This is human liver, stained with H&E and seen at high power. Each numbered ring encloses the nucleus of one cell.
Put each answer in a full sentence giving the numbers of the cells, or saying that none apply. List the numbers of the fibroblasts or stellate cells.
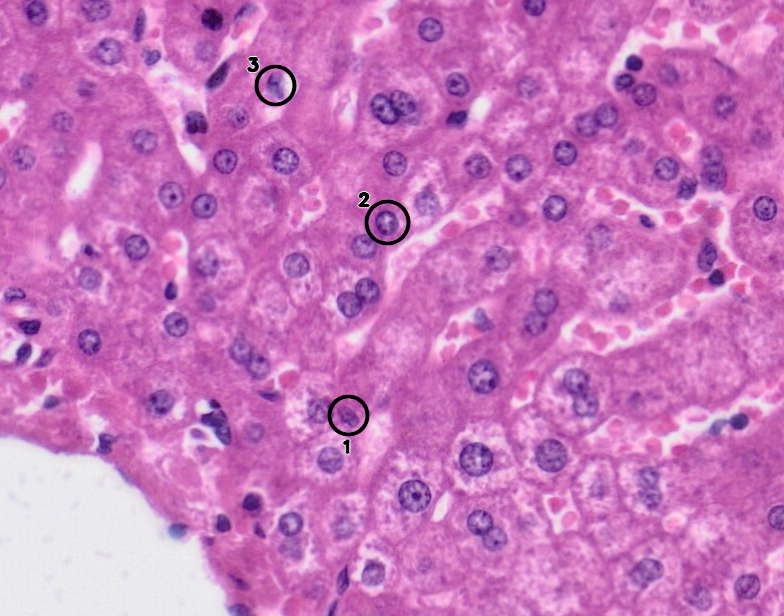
Only one of the numbered nuclei, number 1, belongs to a fibroblast or stellate cell.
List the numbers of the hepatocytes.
Of the numbered nuclei, only the one labelled 2 belongs to a hepatocyte.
